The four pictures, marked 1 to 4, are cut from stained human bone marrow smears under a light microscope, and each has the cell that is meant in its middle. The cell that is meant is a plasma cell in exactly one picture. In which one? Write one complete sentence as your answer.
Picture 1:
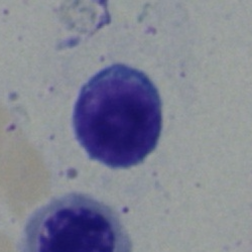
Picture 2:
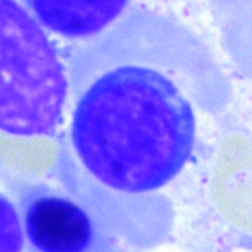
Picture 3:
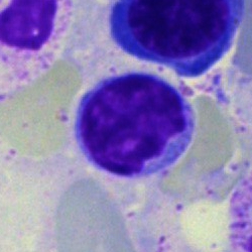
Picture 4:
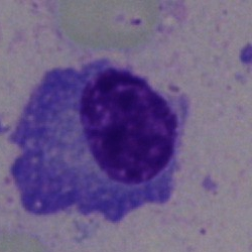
Picture 4 is the one that shows the plasma cell.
